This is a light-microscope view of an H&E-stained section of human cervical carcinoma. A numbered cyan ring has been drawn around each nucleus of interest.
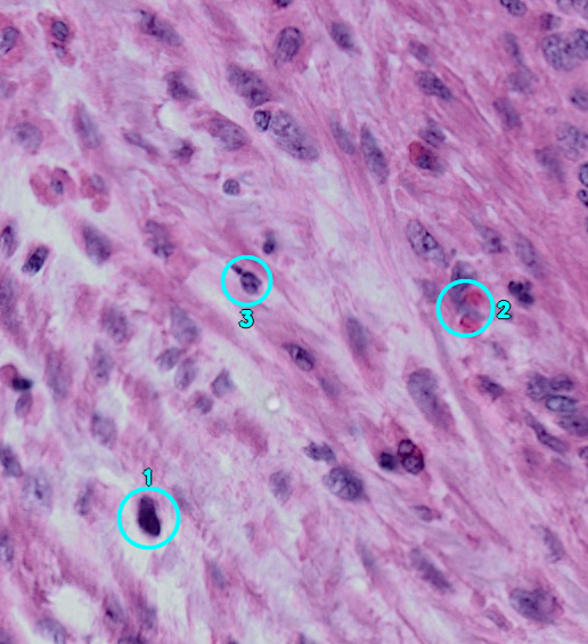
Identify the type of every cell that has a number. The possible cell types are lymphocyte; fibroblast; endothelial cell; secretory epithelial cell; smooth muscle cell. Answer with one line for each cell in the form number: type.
1: lymphocyte
2: endothelial cell
3: lymphocyte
